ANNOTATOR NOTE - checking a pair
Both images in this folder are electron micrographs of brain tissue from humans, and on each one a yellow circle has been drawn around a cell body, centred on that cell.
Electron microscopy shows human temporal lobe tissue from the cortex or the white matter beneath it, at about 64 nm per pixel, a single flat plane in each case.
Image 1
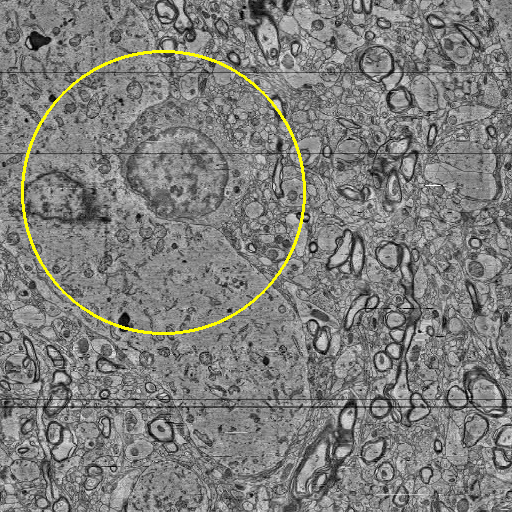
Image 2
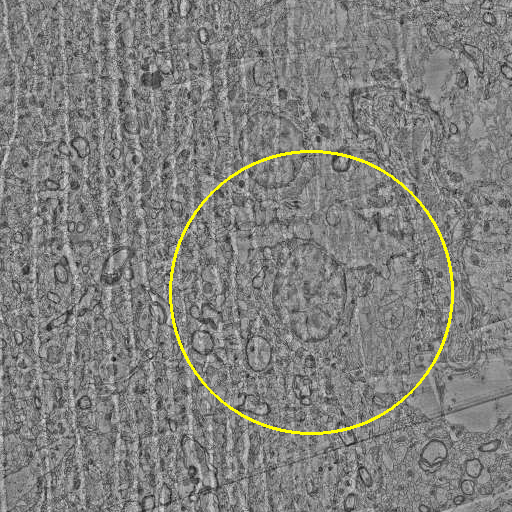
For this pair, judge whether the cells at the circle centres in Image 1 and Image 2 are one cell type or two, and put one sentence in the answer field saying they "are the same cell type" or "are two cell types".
For this pair, the cells at the circle centres in Images 1 and 2 are the same cell type.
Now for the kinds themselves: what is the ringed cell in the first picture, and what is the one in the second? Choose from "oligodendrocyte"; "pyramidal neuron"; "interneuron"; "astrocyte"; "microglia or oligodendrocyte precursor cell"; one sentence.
In both pictures the ring is centred on an oligodendrocyte.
